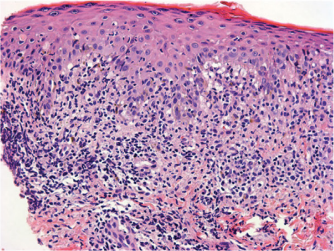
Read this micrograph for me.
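This is skin with a dense inflammatory infiltrate of lymphocytes and histiocytes packed into the upper dermis right beneath the epidermis. The infiltrate forms a band along the dermal–epidermal junction, so that the border between epidermis and dermis is blurred, the picture of a lichenoid reaction. Small round dark-blue nuclei of lymphocytes lie among larger cells with paler, more oval nuclei. The epidermis above is made of pink squamous cells with a thin compact pink cornified layer on top. Its lowest cell layers look pale and disordered where the immune cells crowd against them.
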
